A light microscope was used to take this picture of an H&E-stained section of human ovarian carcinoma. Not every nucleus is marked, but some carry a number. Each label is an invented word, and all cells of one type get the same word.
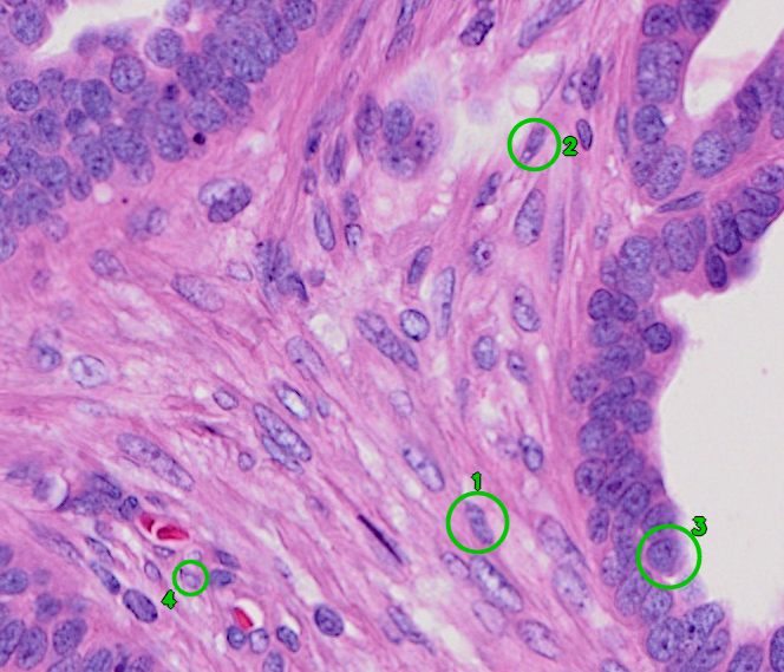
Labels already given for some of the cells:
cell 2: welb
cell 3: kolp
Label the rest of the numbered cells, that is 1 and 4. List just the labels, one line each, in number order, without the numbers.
welb
welb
